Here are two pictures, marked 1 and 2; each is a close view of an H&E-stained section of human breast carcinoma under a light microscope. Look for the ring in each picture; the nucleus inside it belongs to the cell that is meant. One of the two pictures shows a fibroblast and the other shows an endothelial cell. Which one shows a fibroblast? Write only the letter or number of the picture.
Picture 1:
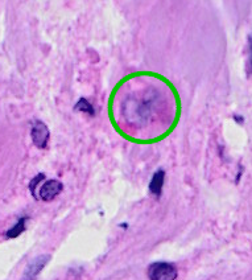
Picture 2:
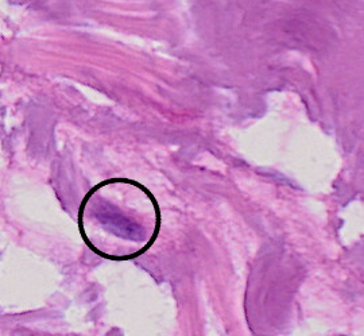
2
